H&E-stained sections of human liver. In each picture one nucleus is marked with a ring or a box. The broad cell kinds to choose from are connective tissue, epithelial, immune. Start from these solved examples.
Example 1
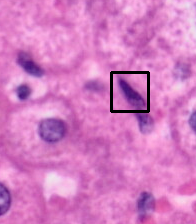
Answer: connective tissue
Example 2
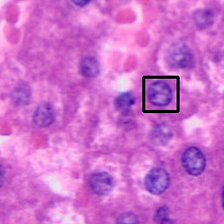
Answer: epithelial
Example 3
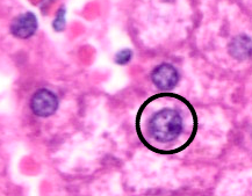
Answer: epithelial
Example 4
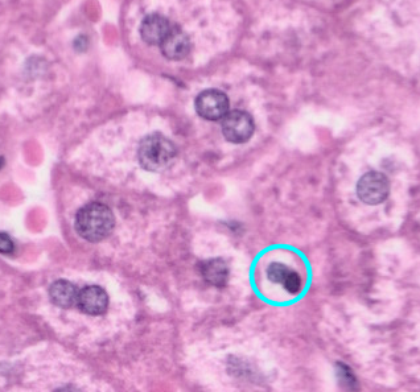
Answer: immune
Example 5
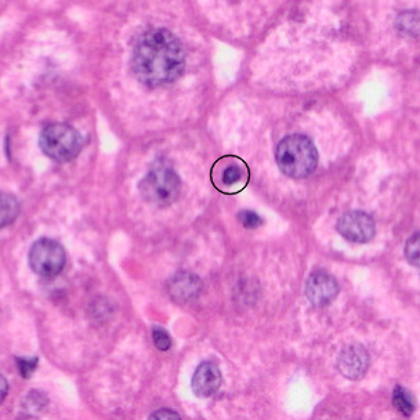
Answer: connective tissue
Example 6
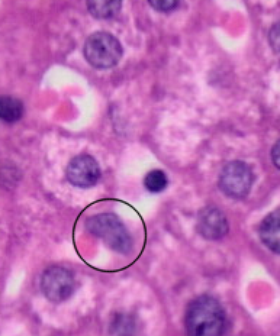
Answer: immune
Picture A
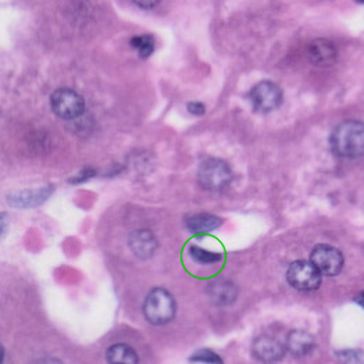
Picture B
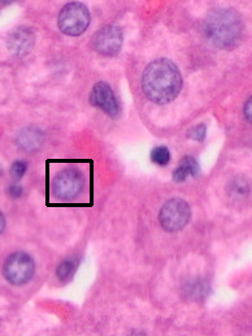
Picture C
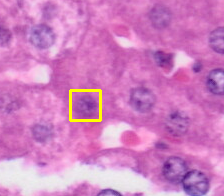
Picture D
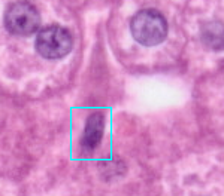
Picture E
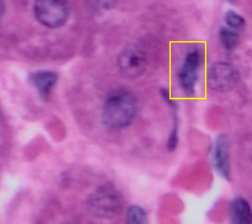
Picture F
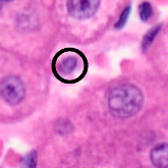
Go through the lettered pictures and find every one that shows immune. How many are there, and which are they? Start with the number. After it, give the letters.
2, namely D, F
